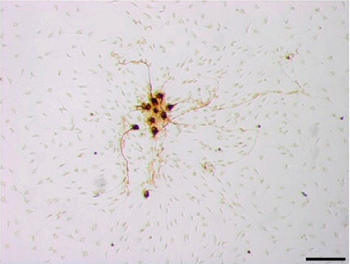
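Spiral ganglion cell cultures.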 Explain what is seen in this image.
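From the cluster, numerous fine brown neurites radiate outward in several directions, some long enough to reach far toward the edges of the picture. A few isolated neurons with their own shorter processes lie elsewhere in the field. All around, the dish is covered by a pale layer of flat, elongated background cells whose outlines and nuclei are only faintly seen.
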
